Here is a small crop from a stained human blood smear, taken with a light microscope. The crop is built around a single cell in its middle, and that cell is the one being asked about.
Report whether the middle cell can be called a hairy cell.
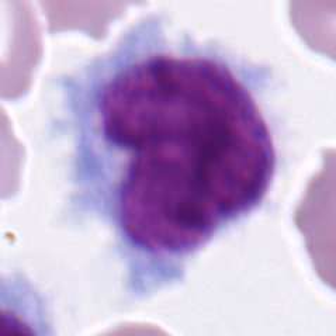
yes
